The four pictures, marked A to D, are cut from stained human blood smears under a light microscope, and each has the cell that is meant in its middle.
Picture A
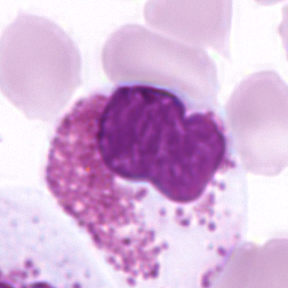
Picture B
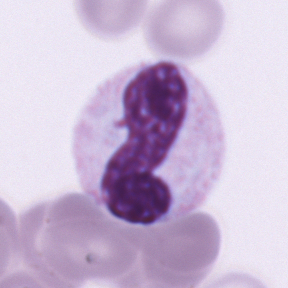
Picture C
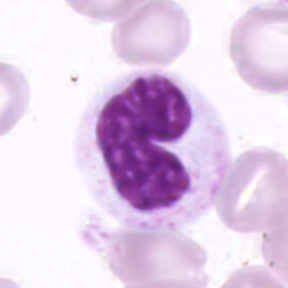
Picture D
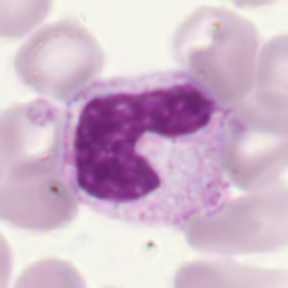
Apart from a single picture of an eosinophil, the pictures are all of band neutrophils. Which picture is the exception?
A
